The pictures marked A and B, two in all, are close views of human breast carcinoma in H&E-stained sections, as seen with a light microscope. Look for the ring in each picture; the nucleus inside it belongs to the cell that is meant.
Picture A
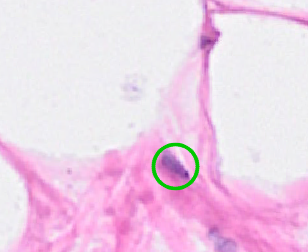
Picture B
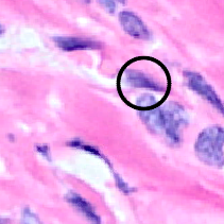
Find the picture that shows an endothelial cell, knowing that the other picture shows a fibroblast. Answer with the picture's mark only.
B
